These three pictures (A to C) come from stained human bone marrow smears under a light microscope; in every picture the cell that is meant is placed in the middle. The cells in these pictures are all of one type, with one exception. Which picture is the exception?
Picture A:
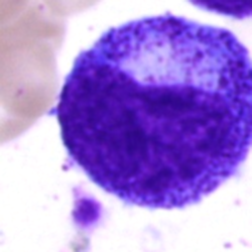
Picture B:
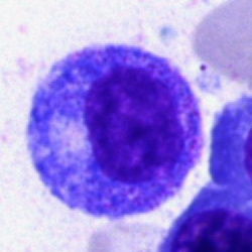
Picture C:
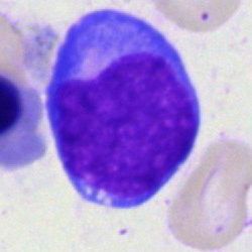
C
